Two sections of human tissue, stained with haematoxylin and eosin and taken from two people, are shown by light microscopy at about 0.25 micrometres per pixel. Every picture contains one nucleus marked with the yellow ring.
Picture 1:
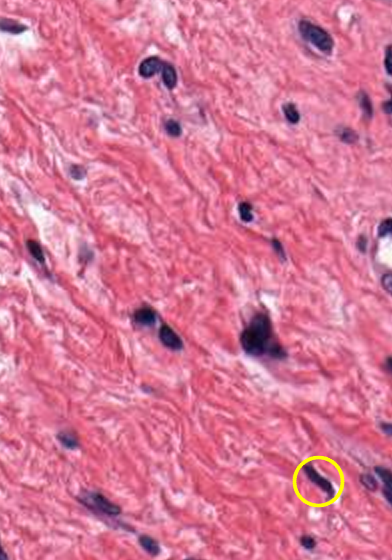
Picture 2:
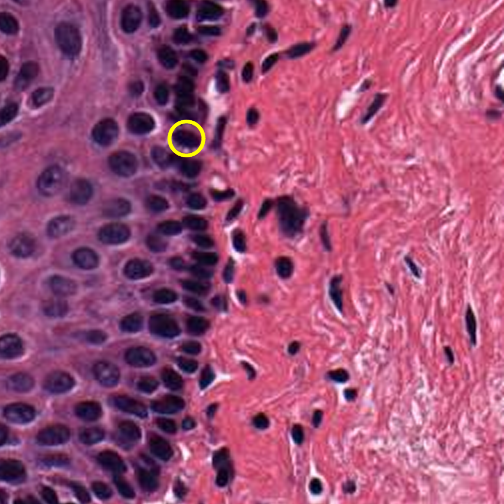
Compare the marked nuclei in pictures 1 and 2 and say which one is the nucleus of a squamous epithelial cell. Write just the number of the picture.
2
